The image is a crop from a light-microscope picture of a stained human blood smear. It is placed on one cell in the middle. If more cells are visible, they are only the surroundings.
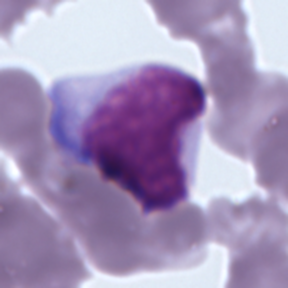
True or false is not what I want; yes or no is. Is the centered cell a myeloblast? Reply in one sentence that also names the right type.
Yes, the cell in the centre is a myeloblast.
